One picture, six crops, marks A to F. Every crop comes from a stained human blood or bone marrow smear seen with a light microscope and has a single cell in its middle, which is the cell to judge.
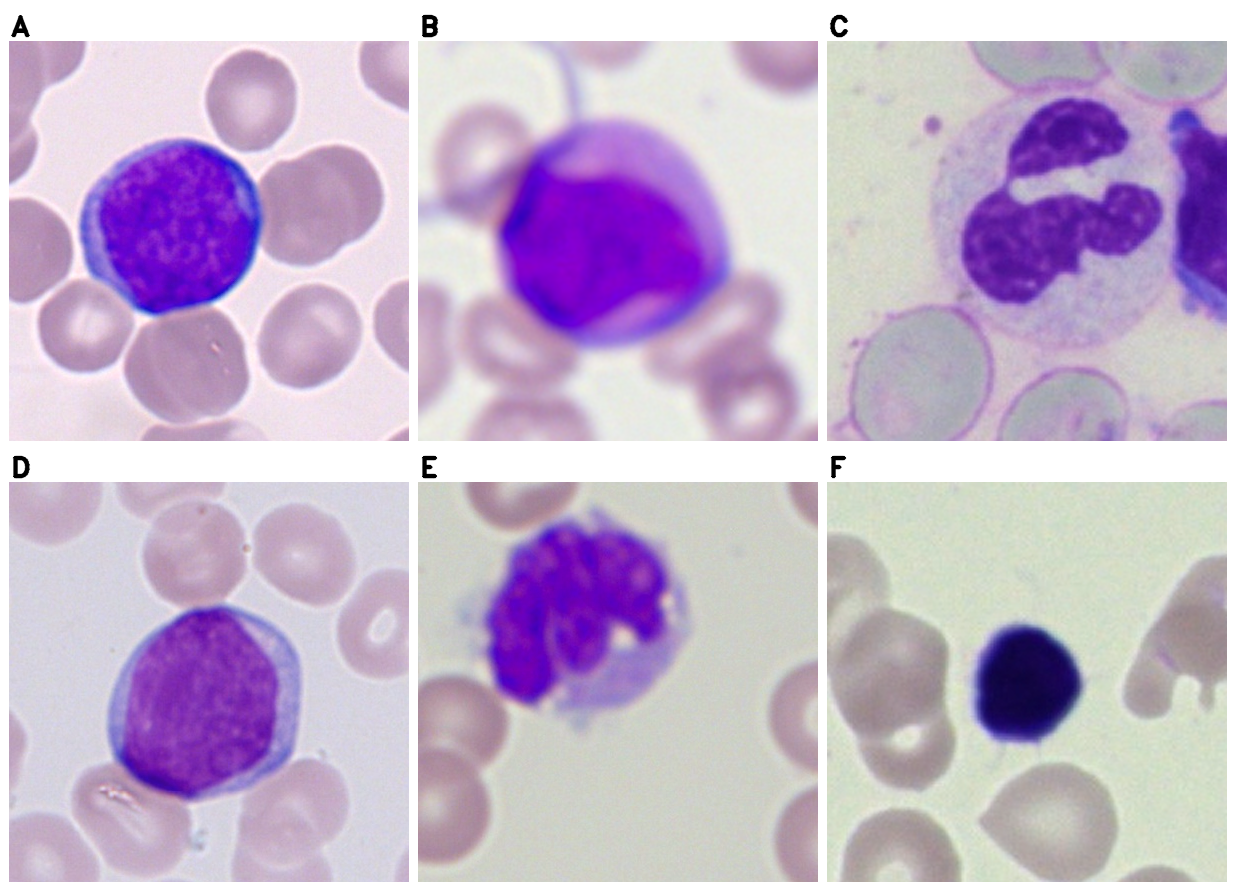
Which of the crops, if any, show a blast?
A, B, D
